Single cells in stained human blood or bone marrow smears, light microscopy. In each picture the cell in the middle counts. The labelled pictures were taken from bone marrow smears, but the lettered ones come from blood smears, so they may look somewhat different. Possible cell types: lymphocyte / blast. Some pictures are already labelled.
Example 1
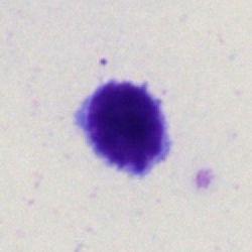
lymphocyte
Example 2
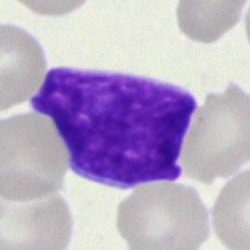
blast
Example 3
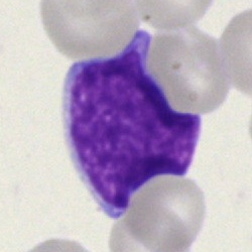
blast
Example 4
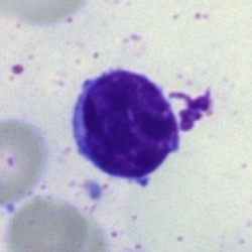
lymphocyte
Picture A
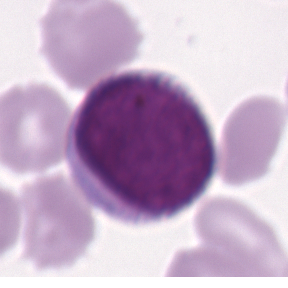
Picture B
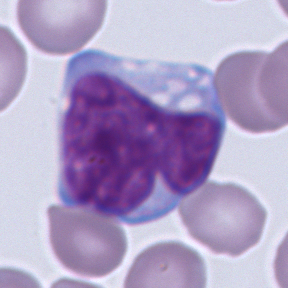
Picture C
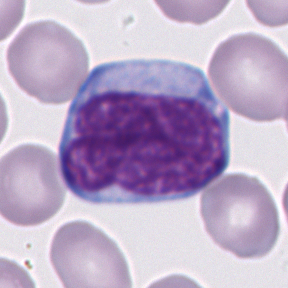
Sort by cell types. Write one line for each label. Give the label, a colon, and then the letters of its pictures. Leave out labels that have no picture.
blast: A, B, C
